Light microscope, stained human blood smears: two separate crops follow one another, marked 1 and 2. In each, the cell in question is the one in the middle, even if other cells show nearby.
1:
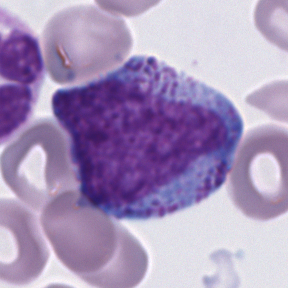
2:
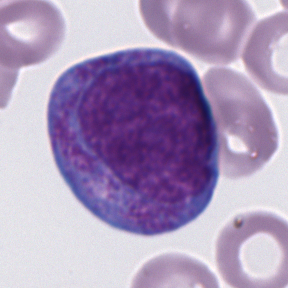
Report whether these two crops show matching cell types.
yes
